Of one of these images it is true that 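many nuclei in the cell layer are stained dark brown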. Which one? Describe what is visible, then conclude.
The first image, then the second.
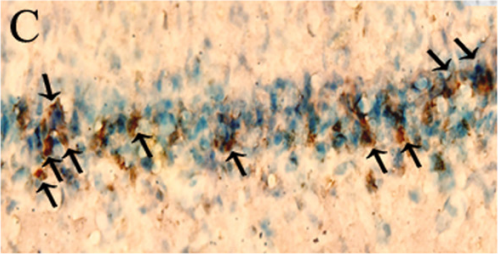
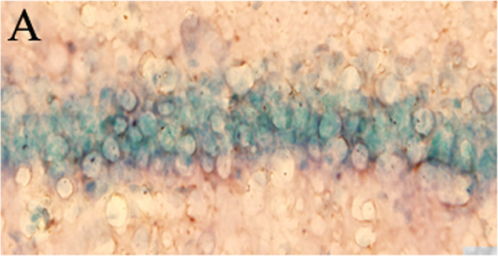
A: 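The first image. First image: numerous dark brown nuclei are scattered along the blue-green cell band. Second image: the cell band is blue-green with no distinct dark brown nuclei.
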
